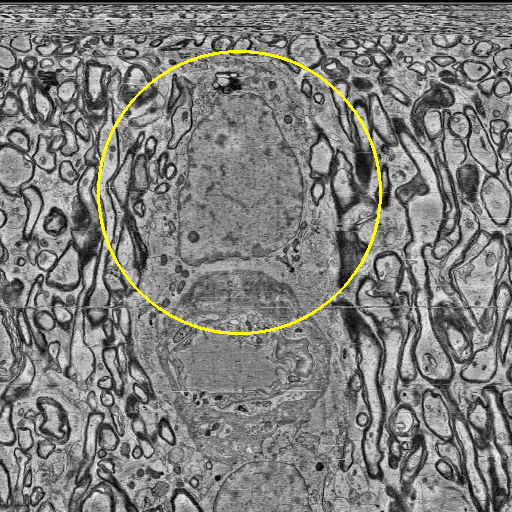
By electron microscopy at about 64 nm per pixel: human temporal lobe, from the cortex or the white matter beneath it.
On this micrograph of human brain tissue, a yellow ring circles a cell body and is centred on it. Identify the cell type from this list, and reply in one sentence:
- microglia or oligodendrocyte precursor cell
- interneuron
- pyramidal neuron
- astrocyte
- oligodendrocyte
The cell at the centre is an astrocyte.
